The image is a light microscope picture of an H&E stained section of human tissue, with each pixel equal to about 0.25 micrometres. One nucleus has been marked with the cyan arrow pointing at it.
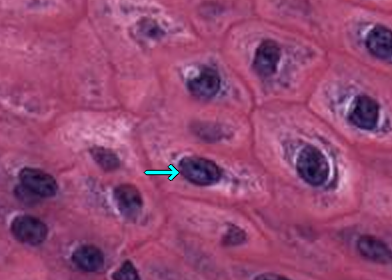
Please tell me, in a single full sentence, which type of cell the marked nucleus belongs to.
The nucleus marked in the section is that of a squamous epithelial cell.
